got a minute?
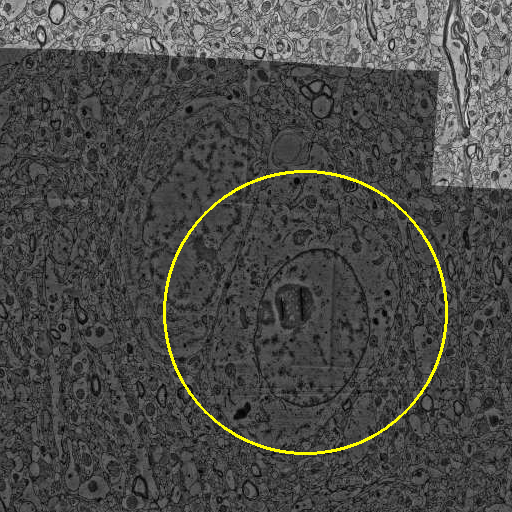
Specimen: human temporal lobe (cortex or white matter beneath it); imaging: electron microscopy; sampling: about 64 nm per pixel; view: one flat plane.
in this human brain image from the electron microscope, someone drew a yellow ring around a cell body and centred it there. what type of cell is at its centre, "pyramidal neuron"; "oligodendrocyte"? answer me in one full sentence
It's a pyramidal neuron at the middle of that yellow ring in the shot.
